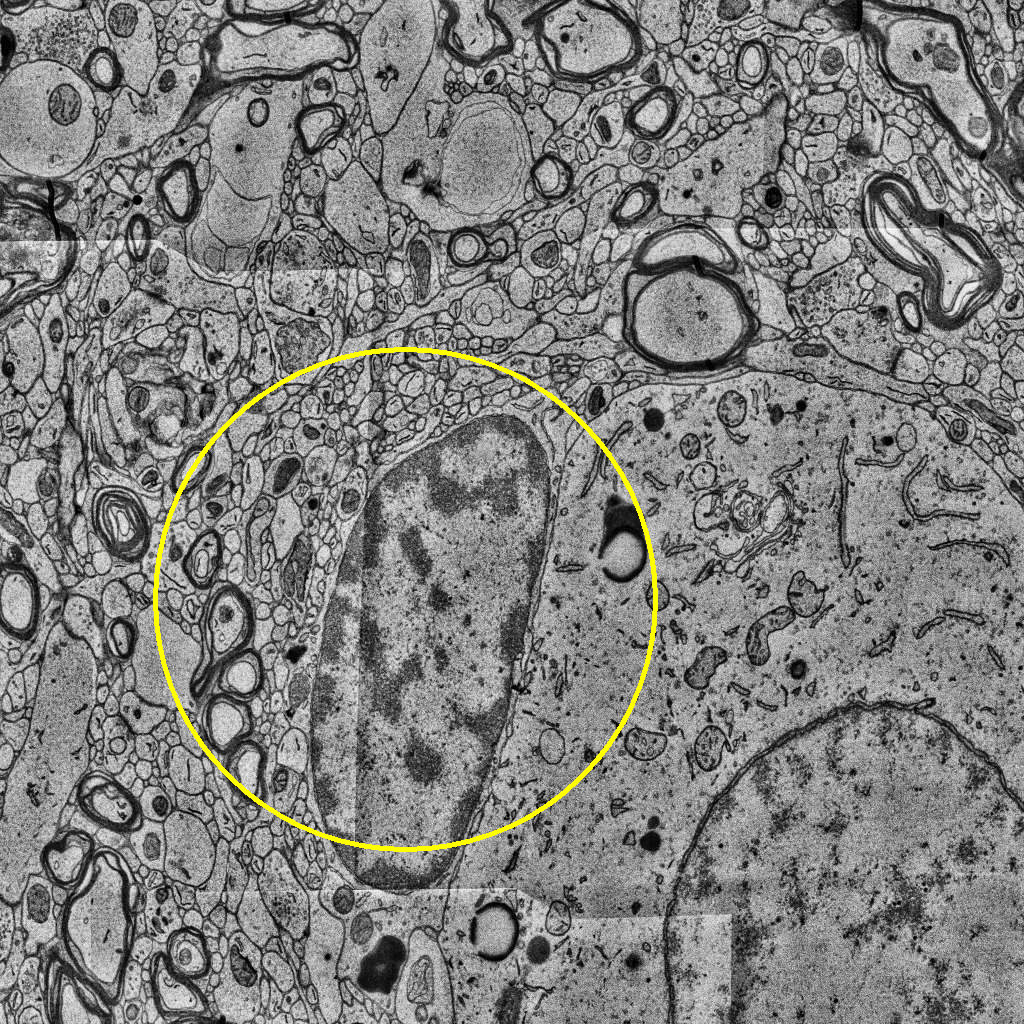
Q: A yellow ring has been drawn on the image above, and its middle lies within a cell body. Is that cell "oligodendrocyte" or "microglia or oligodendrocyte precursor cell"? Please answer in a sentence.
The ring's middle lies in the cell body of a microglial cell or oligodendrocyte precursor cell.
